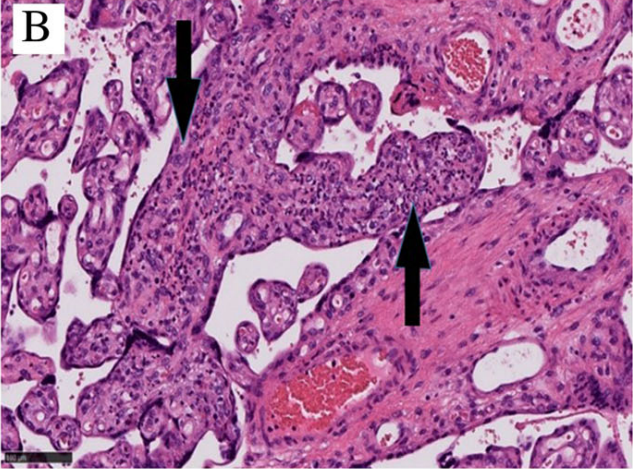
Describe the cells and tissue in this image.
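This is placental tissue with chorionic villi cut in section, among them a stem villus with thick pink fibromuscular stroma around vessels holding red blood cells. Small terminal villi around it are rounded, lined by a rim of trophoblast with purple nuclei and contain small capillaries. Intervillous spaces between the villi are clear and contain scattered red cells.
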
